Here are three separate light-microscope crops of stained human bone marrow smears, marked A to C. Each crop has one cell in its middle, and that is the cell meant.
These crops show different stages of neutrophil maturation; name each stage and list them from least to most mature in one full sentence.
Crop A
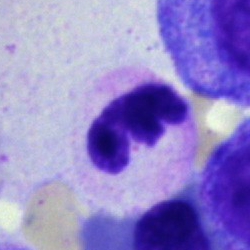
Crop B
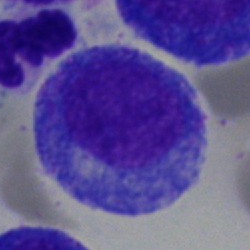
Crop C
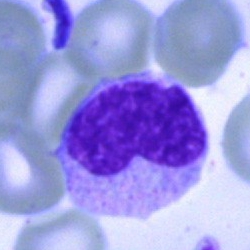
From least to most mature, the sequence is given by crop B (a promyelocyte), crop C (a metamyelocyte) and crop A (a segmented neutrophil).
